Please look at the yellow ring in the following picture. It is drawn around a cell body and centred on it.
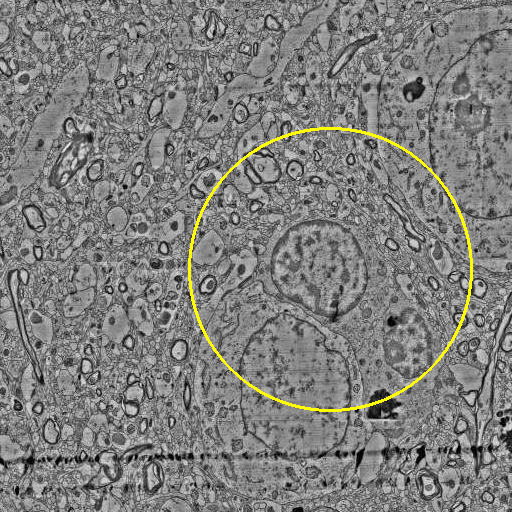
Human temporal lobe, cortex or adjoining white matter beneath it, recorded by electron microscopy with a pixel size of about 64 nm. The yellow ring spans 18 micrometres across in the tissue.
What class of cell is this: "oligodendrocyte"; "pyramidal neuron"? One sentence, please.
The ring surrounds the cell body of an oligodendrocyte.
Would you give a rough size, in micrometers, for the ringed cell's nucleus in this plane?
The nucleus comes to roughly 6 micrometres across in this plane.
